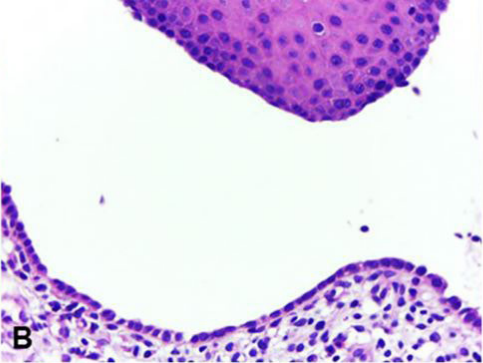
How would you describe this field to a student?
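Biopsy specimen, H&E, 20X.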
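Stratified squamous epithelium split into a blister, with a single layer of basal cells on the floor. At the top, a detached piece of epithelium shows polygonal cells with round, darkly stained nuclei and pink cytoplasm, packed closely together. Below it lies an empty clear space. The floor of this space is covered by one row of small cuboidal to low columnar basal cells with dark oval nuclei, resting on loose pale connective tissue. The connective tissue beneath holds scattered small round inflammatory cells and elongated stromal cells.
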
